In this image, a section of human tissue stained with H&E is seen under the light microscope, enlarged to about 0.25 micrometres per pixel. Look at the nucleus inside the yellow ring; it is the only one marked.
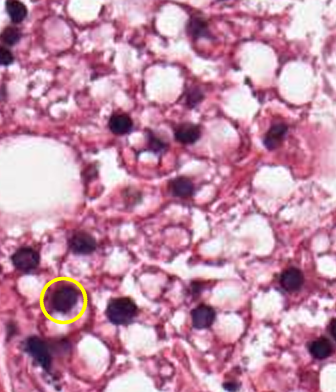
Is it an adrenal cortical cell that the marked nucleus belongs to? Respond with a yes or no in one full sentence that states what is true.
Yes, the cell that houses the marked nucleus is an adrenal cortical cell.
